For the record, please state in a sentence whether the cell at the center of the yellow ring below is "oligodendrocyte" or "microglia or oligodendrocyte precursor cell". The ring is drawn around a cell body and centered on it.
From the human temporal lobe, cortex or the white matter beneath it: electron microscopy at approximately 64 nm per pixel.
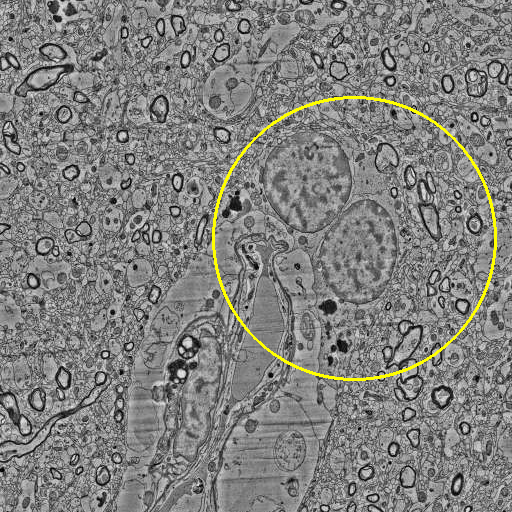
The cell at the ring's center is an oligodendrocyte.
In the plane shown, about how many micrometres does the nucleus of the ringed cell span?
The nucleus measures about 7 by 5 micrometres in this plane.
